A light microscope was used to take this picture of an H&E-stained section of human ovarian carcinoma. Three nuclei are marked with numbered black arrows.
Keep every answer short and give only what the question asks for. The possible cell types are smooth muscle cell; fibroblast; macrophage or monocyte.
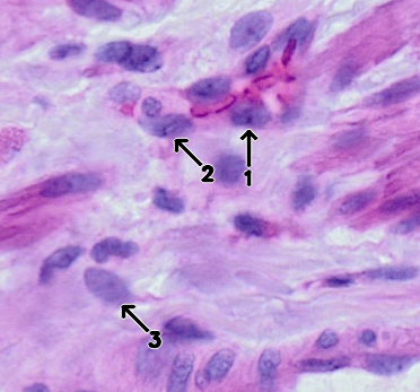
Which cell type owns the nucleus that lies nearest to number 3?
macrophage or monocyte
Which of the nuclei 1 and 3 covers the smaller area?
1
